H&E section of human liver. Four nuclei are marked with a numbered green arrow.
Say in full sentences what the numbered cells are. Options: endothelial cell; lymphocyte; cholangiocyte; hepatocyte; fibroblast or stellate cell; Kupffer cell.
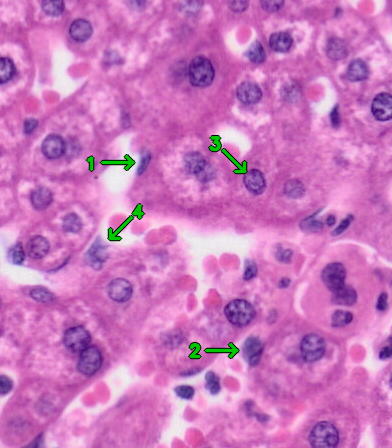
Cells 1, 2 and 4 are endothelial cells. Cell 3 is a hepatocyte.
